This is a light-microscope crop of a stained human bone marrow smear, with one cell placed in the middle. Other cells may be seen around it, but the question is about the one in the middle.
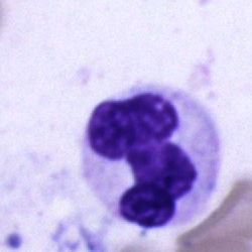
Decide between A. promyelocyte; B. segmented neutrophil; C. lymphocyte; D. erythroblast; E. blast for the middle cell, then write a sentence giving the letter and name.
The expected answer is option B, the central cell being a segmented neutrophil.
